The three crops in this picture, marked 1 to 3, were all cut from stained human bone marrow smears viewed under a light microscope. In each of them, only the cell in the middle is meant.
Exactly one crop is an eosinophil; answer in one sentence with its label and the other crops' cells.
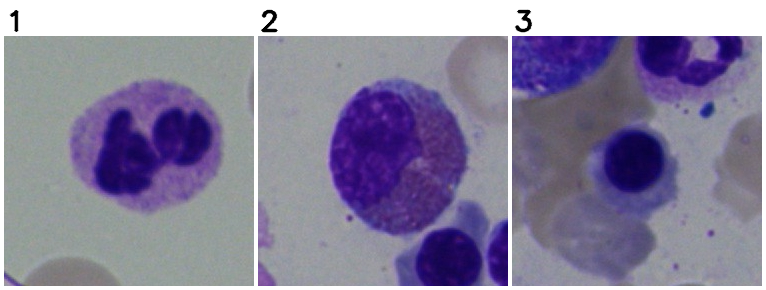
The labels are: crop 2 is an eosinophil, and crop 1 is a segmented neutrophil and crop 3 is an erythroblast.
